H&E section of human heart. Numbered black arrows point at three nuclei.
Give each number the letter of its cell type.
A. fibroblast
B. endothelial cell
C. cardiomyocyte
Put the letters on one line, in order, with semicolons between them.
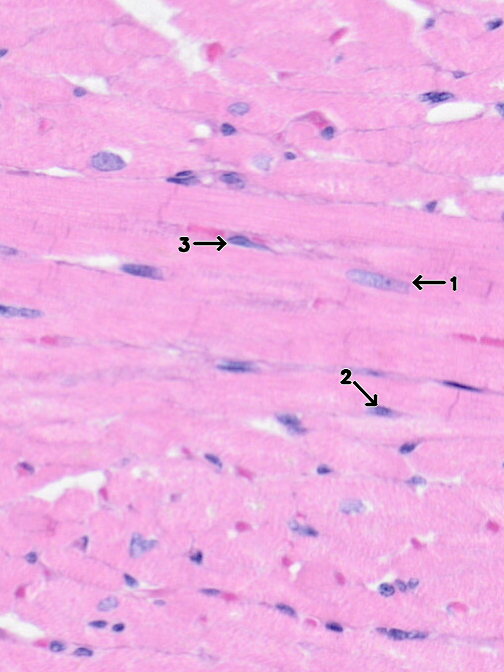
C; B; B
